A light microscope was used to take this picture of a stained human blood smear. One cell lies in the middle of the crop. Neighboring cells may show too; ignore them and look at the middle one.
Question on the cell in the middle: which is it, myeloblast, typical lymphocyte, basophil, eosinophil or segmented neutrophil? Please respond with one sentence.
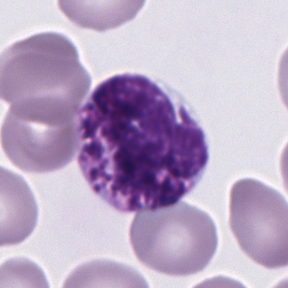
The single cell at the center of the crop is a basophil.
